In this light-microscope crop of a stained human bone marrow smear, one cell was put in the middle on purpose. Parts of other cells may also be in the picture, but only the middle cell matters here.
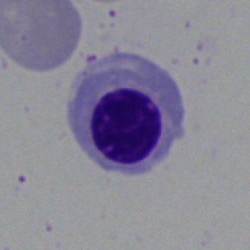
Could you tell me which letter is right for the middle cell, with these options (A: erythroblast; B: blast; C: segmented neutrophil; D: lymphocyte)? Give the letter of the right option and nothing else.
A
